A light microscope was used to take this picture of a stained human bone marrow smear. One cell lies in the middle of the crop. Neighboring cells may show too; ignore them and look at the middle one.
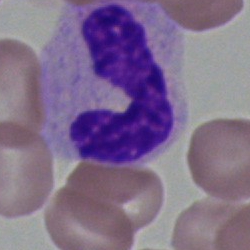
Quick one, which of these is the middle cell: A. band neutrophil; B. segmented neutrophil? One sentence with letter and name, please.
Here the central cell is a band neutrophil, and option A is correct.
